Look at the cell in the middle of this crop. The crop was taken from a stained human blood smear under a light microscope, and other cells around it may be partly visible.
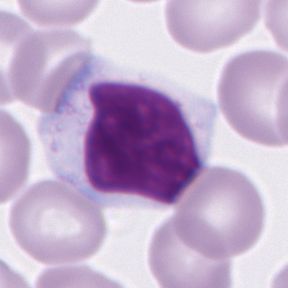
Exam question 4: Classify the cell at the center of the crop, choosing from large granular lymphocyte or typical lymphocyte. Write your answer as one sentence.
This crop has a large granular lymphocyte at its centre.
